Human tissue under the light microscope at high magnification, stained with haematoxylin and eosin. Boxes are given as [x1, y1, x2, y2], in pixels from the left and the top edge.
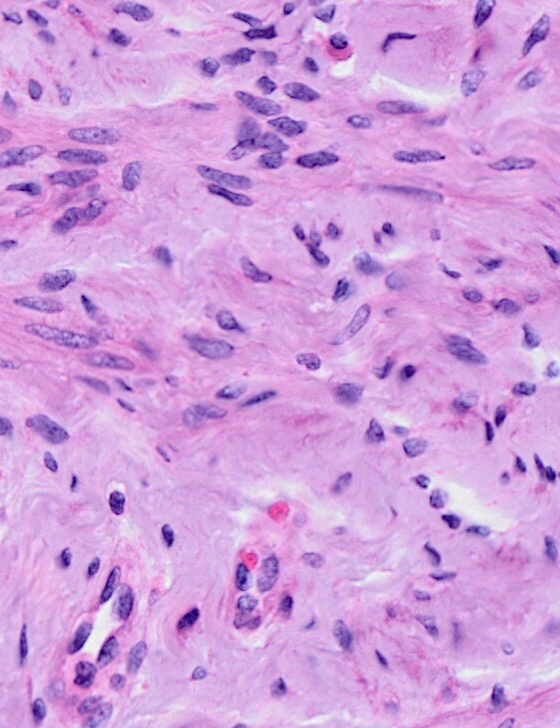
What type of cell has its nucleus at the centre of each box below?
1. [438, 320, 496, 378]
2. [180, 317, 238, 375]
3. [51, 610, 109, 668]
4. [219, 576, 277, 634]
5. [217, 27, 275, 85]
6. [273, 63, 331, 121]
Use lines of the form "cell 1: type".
cell 1: fibroblast
cell 2: smooth muscle cell
cell 3: endothelial cell
cell 4: endothelial cell
cell 5: fibroblast
cell 6: fibroblast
